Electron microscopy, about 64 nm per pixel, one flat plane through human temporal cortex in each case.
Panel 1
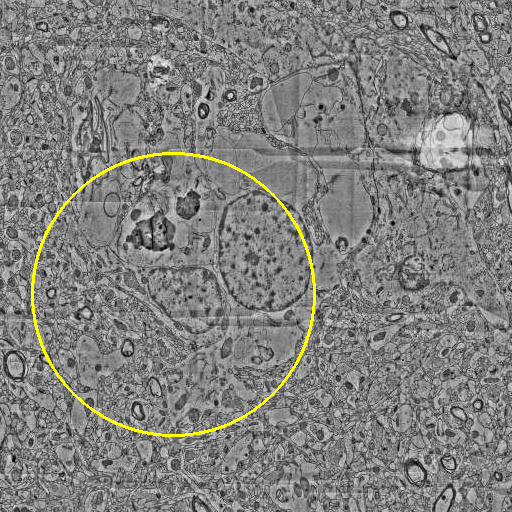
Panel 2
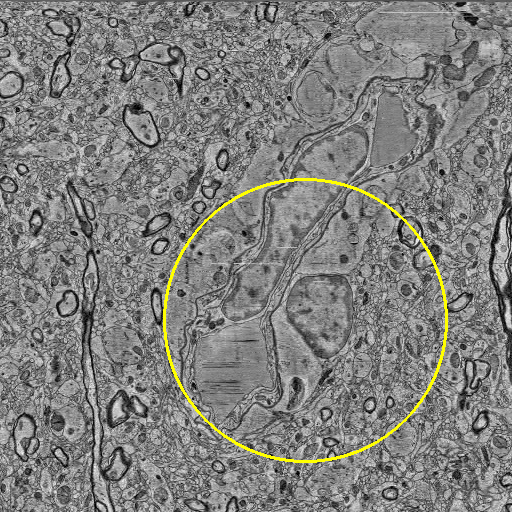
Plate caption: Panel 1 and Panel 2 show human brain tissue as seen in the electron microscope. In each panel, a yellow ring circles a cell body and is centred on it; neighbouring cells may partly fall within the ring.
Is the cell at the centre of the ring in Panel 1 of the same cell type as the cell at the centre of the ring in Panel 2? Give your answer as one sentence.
Yes, the two cells are of the same type.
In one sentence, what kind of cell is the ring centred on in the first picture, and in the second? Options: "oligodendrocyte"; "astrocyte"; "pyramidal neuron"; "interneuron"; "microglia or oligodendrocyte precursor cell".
Both the first and the second picture show a microglial cell or oligodendrocyte precursor cell in the ring.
